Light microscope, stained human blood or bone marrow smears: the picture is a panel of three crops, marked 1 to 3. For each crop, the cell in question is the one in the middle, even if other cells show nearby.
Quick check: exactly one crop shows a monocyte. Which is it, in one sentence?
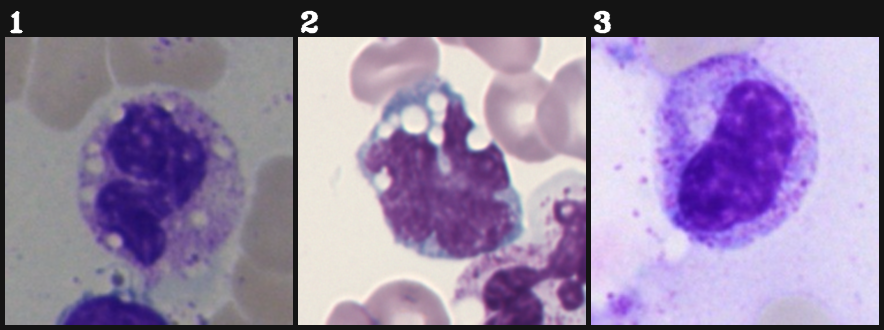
The crop bearing a monocyte is crop 2.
